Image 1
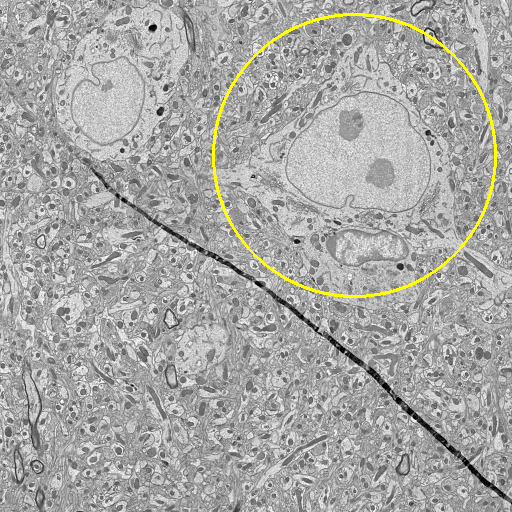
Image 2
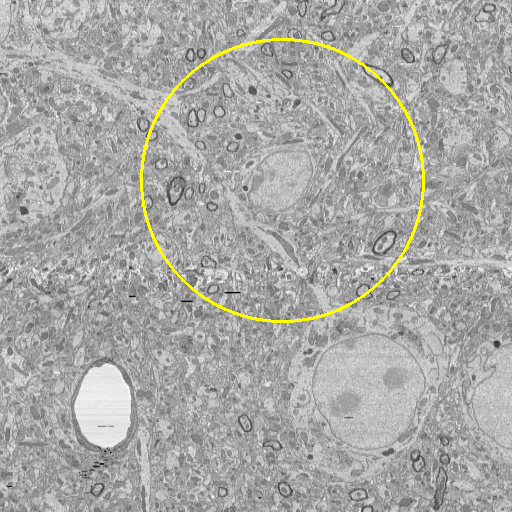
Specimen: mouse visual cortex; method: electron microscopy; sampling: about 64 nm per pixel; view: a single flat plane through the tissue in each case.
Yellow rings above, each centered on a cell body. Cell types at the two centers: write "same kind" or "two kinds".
two kinds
